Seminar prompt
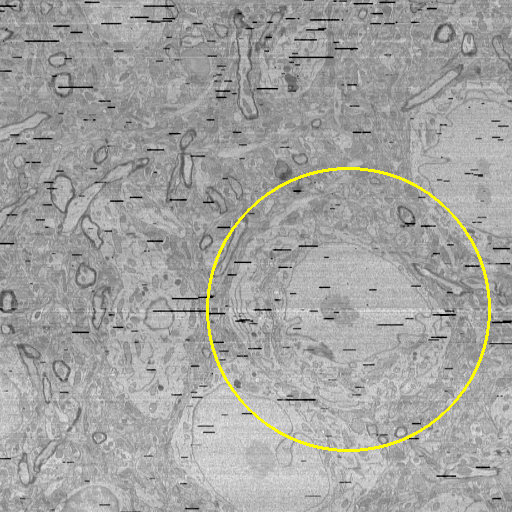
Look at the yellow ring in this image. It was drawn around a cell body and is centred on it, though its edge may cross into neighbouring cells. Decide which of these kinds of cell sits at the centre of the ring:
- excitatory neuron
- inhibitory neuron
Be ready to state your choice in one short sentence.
The kind of cell at the ring's centre is an inhibitory neuron.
